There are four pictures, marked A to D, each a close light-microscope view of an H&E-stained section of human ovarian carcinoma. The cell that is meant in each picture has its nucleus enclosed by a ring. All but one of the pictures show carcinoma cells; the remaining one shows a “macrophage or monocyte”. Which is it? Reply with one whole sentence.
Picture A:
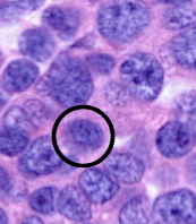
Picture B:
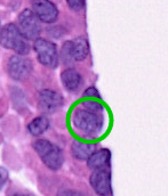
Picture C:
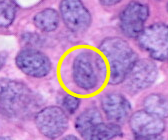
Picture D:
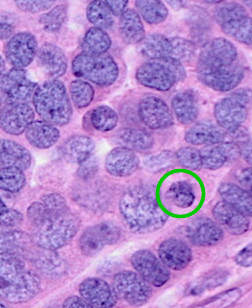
The “macrophage or monocyte” is the one in picture D.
